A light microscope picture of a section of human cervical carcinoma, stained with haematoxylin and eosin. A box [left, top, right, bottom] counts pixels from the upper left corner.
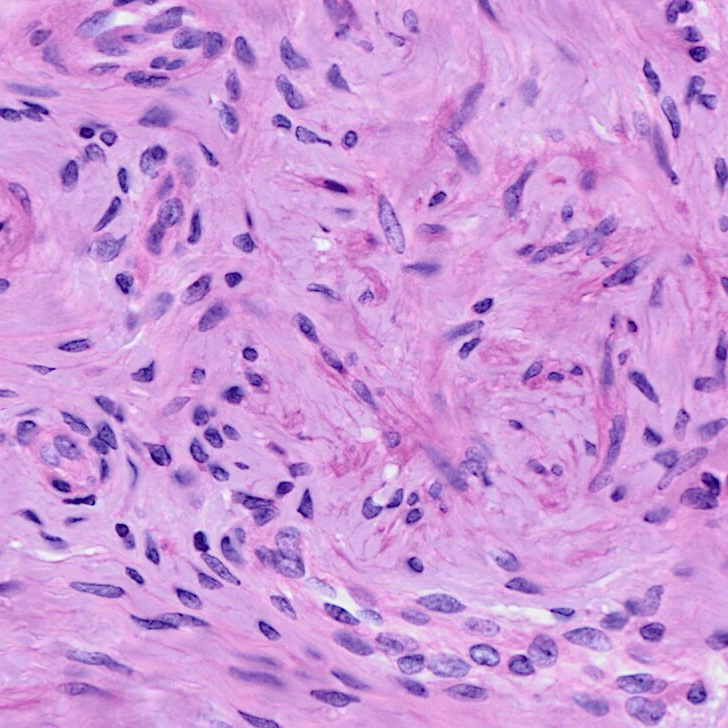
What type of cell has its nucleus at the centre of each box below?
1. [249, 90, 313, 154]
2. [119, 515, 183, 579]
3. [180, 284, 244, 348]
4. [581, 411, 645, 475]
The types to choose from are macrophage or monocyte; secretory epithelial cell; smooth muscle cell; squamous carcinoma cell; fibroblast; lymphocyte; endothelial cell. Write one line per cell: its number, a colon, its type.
1: fibroblast
2: fibroblast
3: fibroblast
4: smooth muscle cell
